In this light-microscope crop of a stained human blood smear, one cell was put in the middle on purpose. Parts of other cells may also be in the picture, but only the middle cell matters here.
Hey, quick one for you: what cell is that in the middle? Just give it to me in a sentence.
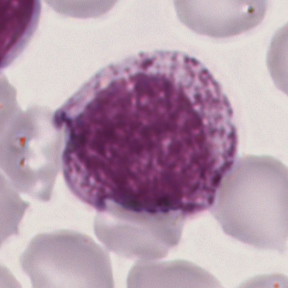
Here the cell in the middle is a myelocyte.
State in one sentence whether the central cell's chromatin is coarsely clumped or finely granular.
No coarse chromatin clumps are present; the pattern is fine.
